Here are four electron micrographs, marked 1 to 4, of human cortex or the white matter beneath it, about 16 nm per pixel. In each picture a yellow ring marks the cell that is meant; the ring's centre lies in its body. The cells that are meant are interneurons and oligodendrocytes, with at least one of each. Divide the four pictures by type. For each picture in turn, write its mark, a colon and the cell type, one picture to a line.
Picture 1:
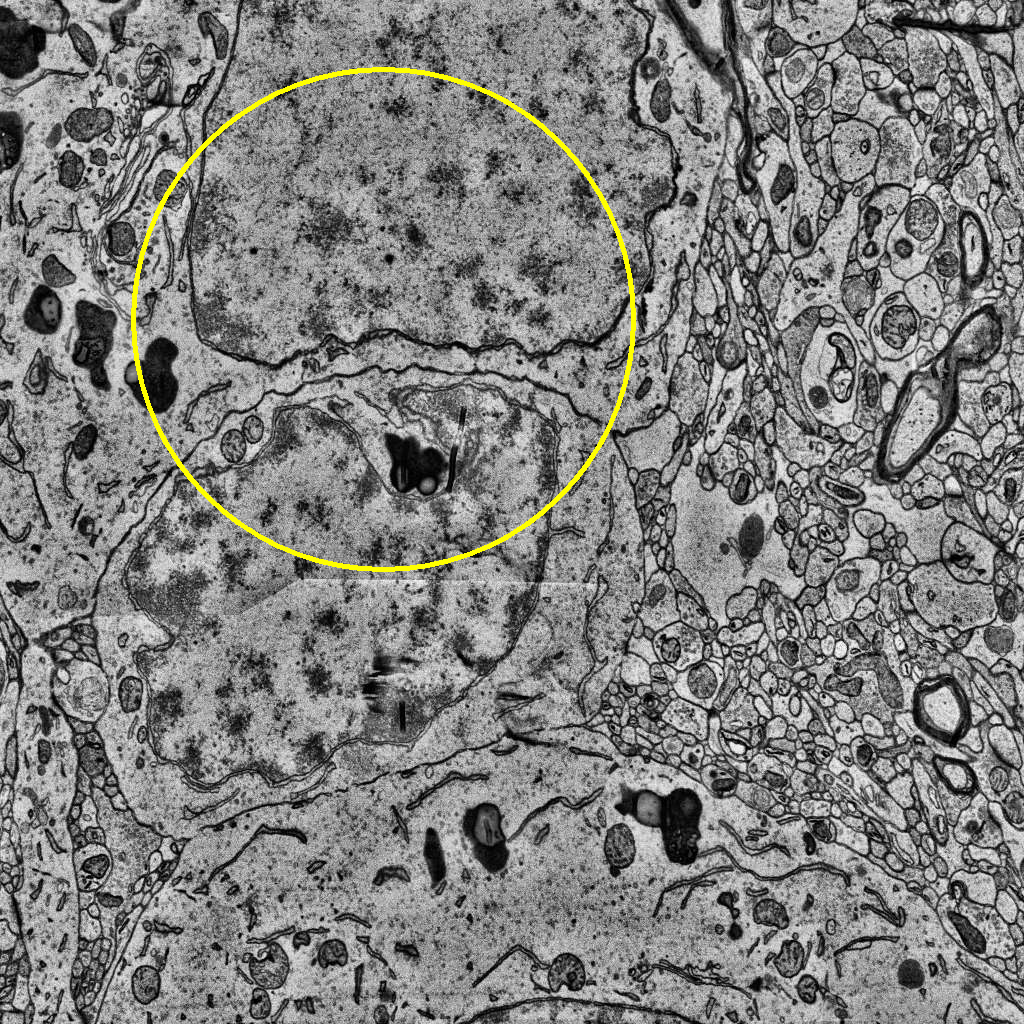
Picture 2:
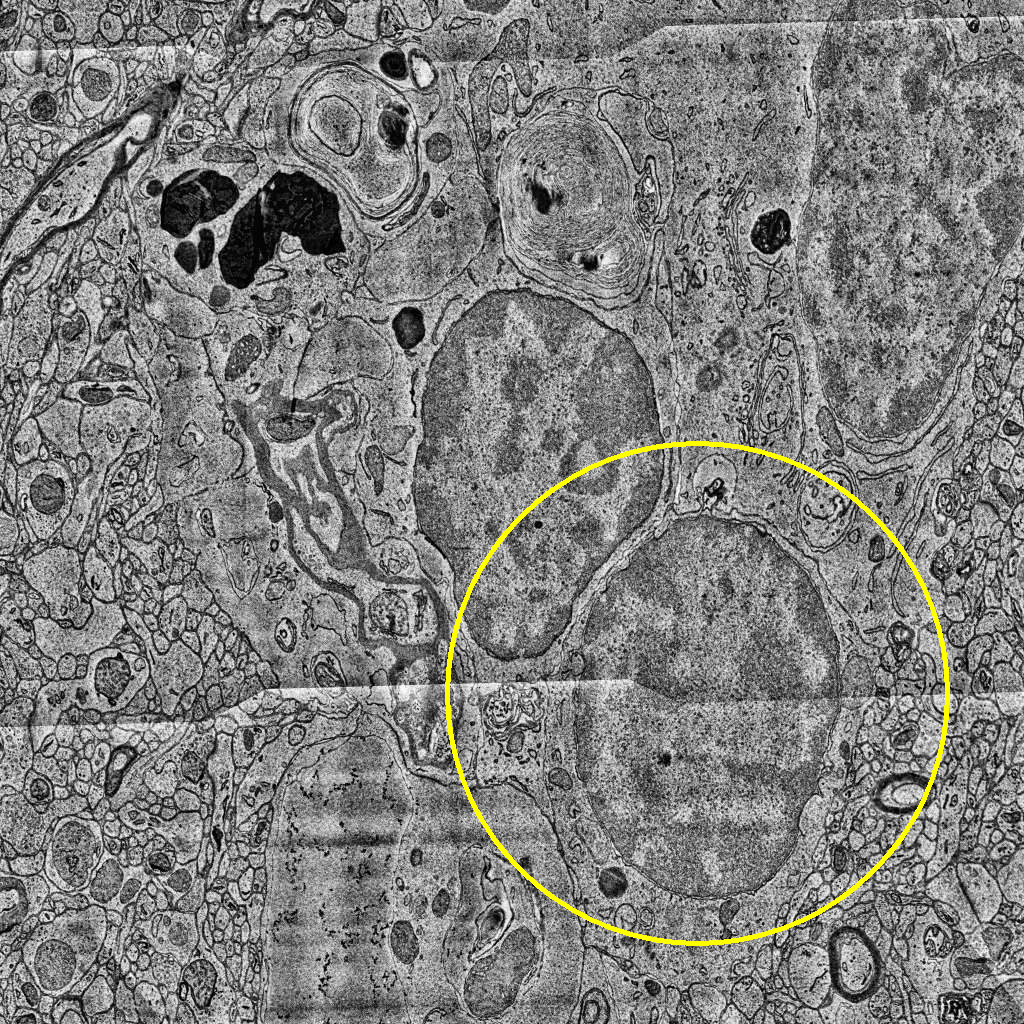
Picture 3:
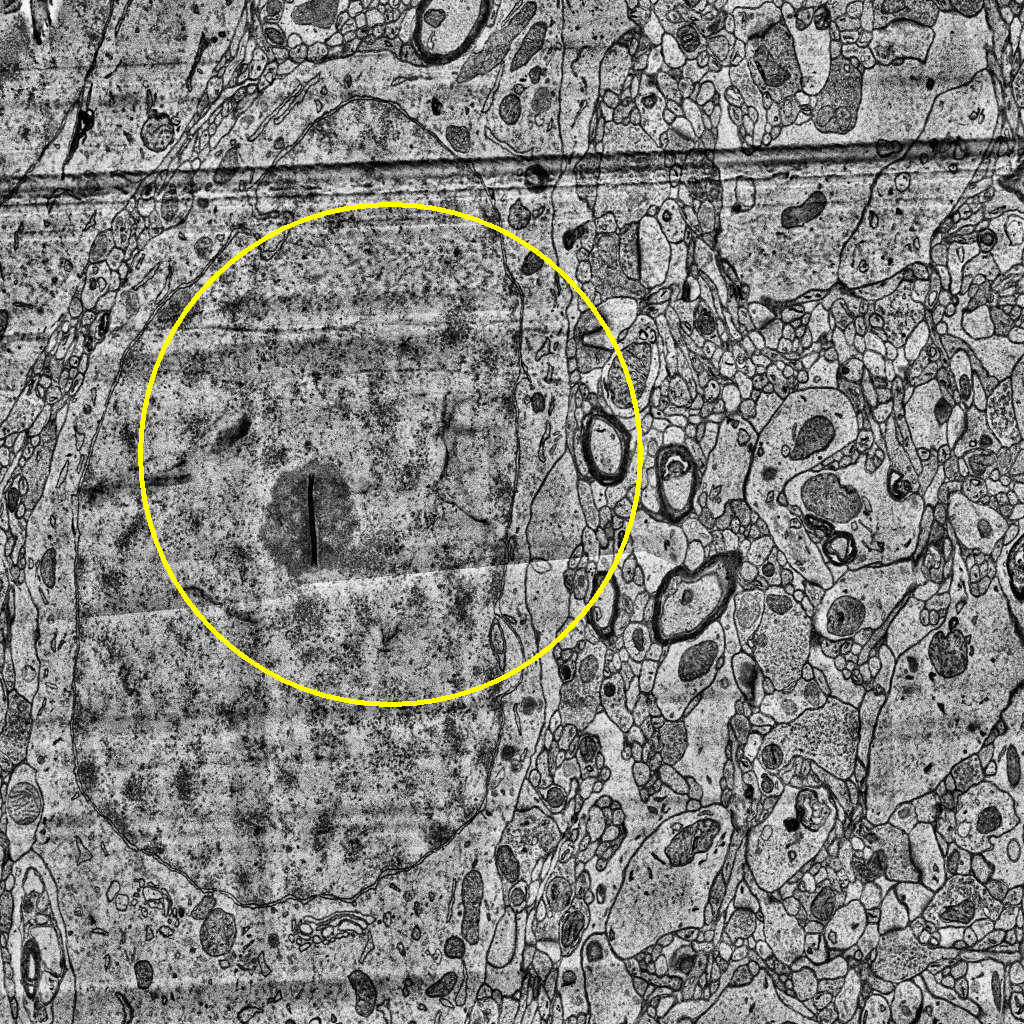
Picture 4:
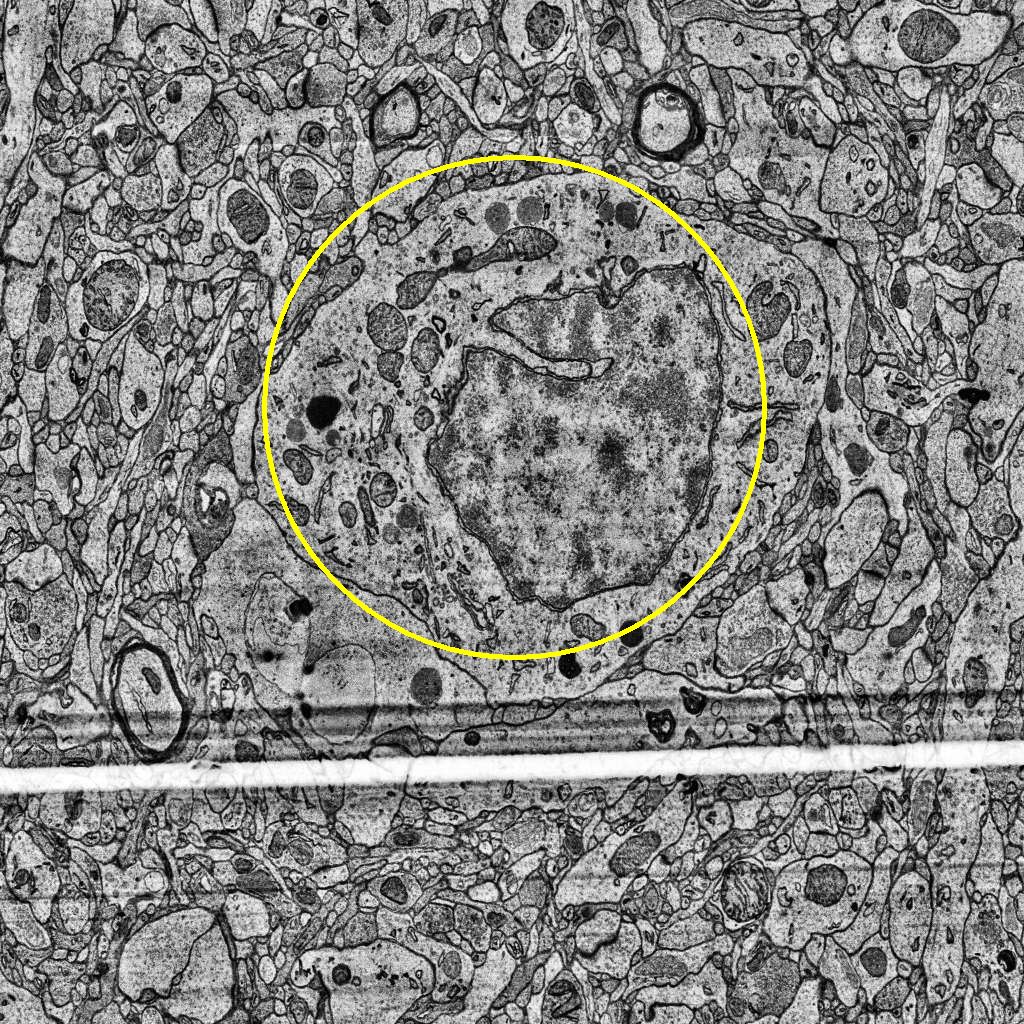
1: interneuron
2: oligodendrocyte
3: interneuron
4: interneuron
